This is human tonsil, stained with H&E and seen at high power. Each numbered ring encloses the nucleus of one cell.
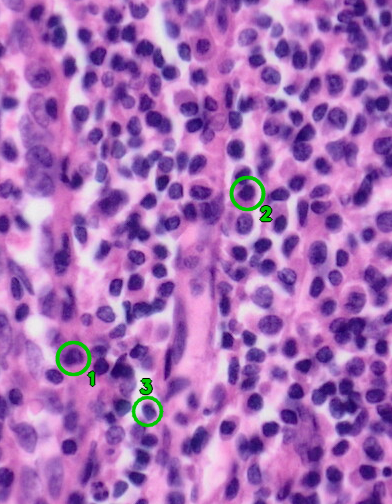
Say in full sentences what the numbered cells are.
Cell 1 is an endothelial cell, cell 2 is a plasma cell and cell 3 is a small lymphocyte.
